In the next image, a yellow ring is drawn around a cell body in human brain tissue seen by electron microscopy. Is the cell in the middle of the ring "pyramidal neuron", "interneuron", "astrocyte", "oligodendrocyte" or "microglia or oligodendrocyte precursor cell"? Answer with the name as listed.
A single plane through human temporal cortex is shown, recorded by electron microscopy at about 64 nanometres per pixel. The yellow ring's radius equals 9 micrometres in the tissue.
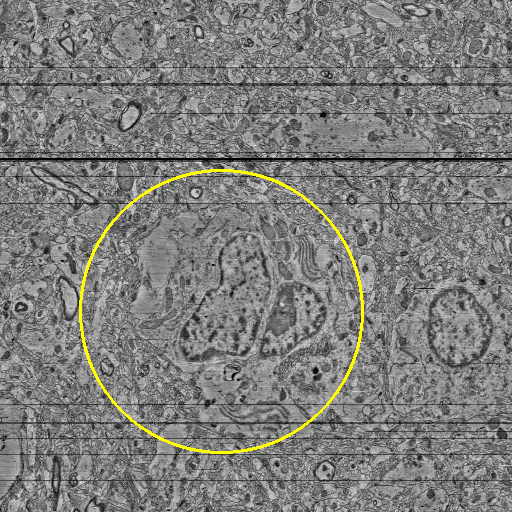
microglia or oligodendrocyte precursor cell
